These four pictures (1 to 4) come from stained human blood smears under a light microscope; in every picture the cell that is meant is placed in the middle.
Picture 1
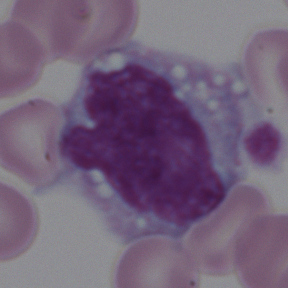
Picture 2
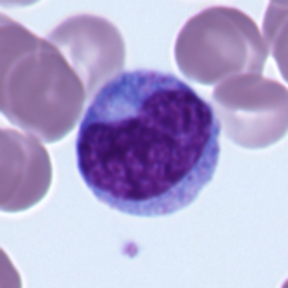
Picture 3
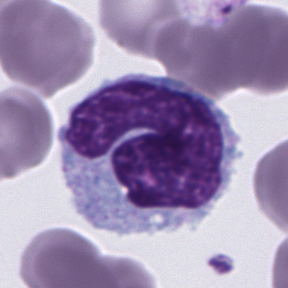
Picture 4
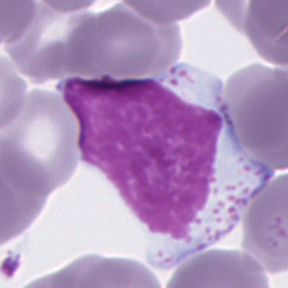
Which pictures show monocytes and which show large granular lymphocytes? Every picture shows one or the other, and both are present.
1: monocyte
2: monocyte
3: monocyte
4: large granular lymphocyte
